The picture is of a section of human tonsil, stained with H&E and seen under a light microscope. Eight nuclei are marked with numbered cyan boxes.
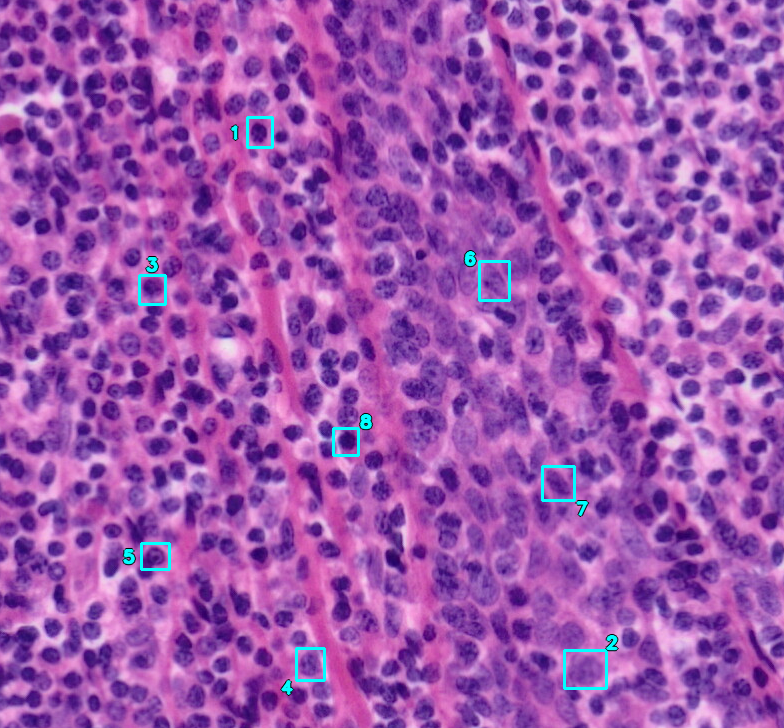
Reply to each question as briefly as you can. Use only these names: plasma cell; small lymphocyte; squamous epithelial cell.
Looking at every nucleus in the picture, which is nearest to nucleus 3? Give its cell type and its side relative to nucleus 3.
a small lymphocyte, below nucleus 3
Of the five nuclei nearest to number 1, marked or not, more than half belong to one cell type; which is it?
plasma cell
